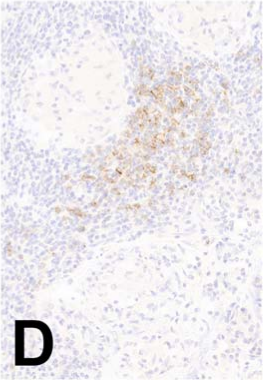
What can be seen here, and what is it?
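Pale rounded nests of epithelioid cells with abundant pale cytoplasm are separated by a band of densely packed small cells with blue nuclei. Within this intergranulomatous band, a delicate brown-stained meshwork of cells is seen, while the pale nests are unstained.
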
